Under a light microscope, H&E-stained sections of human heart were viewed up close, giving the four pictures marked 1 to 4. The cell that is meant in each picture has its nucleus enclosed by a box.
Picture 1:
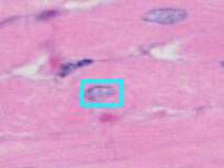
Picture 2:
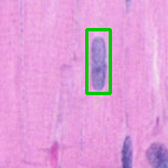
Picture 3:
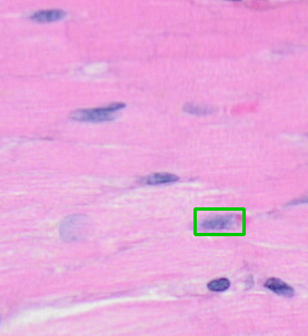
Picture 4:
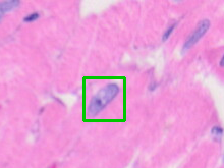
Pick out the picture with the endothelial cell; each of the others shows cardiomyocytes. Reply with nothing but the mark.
3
